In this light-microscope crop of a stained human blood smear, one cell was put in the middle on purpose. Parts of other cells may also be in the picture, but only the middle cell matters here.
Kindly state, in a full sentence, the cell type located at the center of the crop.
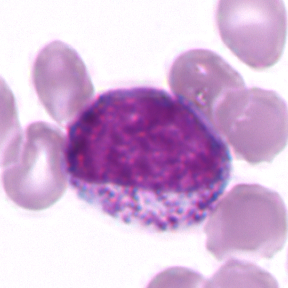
In the central position of this crop, the cell is a metamyelocyte.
